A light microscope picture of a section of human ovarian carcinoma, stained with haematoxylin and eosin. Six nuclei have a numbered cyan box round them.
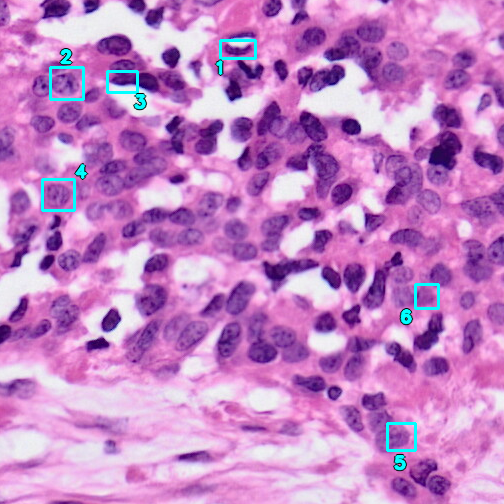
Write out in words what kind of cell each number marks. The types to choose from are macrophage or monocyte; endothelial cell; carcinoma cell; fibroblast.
Cell 1 is an endothelial cell. Cell 2 is a macrophage or monocyte. Cells 3, 4, 5 and 6 are carcinoma cells.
